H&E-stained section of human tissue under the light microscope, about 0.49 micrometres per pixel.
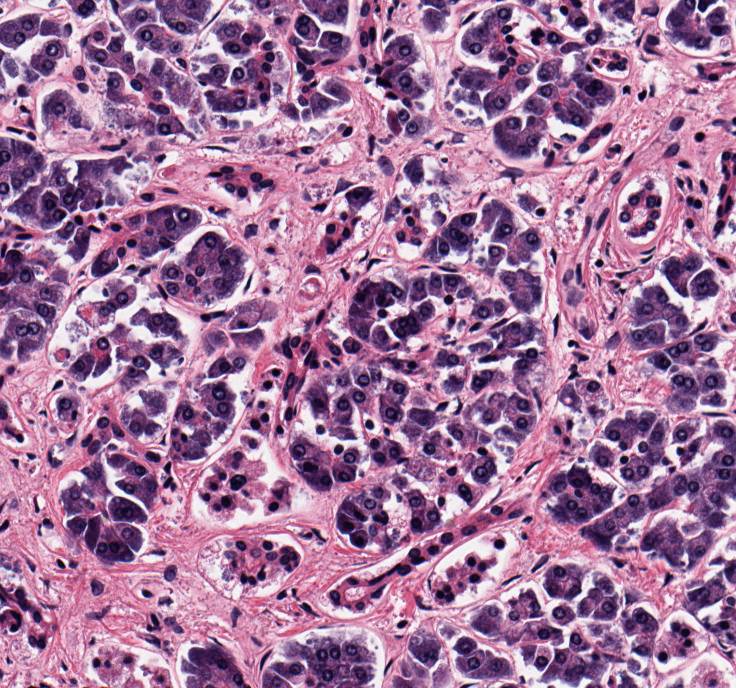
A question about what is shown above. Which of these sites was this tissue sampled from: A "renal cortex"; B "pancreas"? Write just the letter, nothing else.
B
